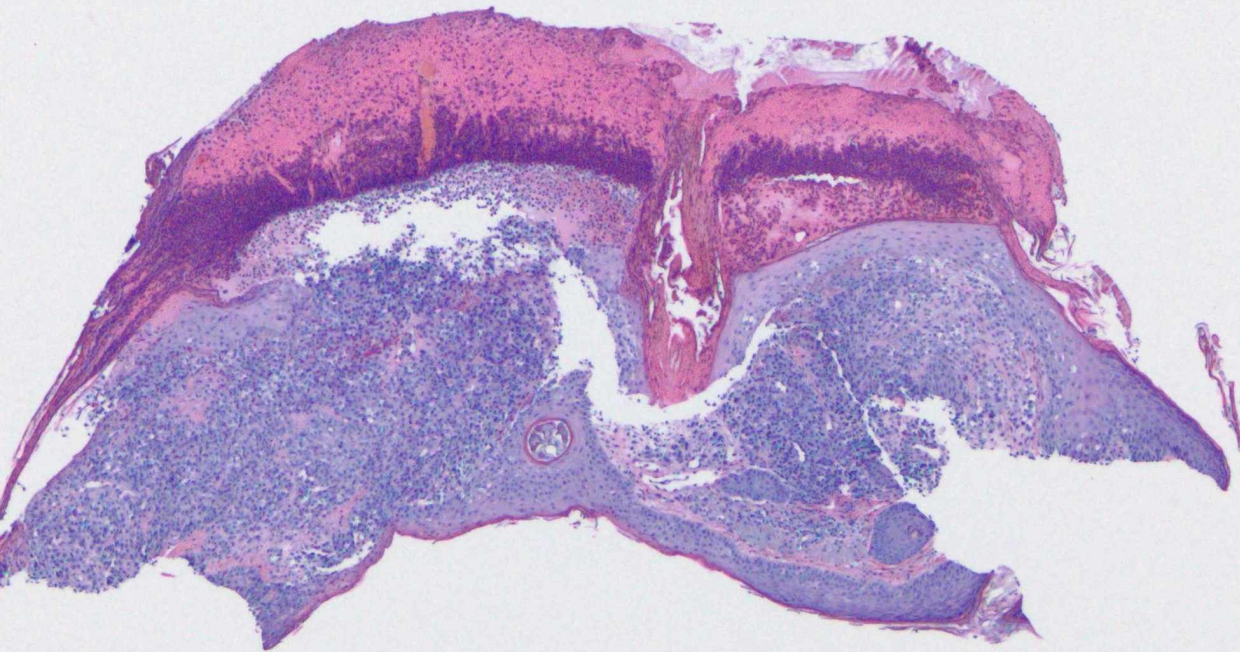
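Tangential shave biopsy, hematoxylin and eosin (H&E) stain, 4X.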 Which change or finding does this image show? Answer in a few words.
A: Predominant dermal infiltrate.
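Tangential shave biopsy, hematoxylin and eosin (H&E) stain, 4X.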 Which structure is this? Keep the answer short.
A: Neutrophilic crust.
